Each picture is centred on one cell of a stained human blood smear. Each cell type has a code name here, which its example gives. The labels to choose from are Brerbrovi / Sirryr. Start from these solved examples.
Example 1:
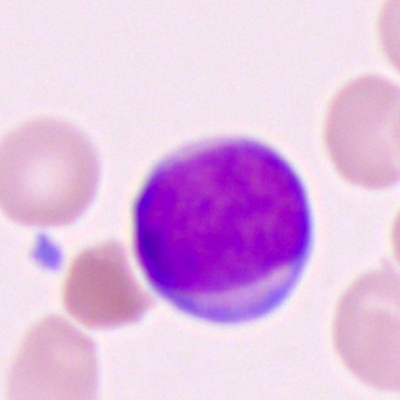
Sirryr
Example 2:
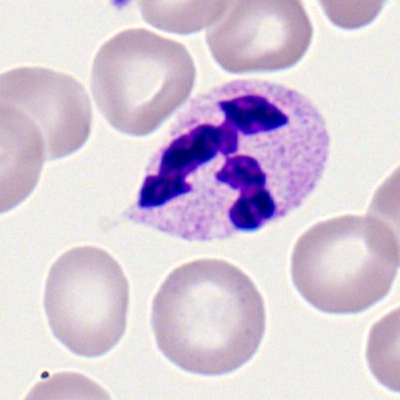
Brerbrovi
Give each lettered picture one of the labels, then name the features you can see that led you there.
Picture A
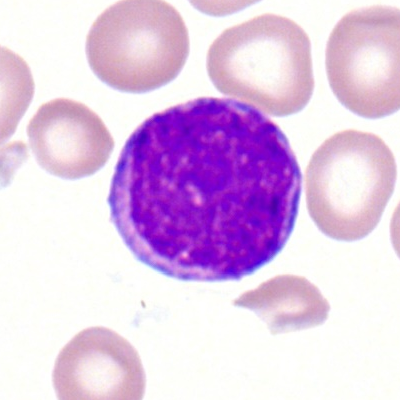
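Sirryr. The cytoplasm is only a thin pale bluish rim around the nucleus.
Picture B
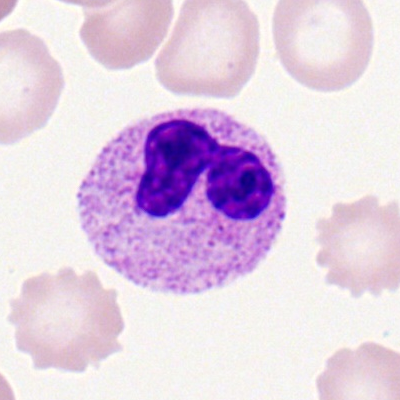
Brerbrovi. The cytoplasm is abundant and pale pink-lilac.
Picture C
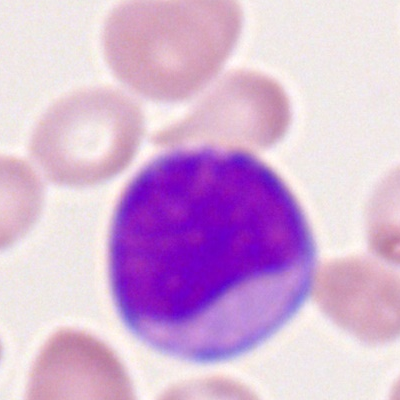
Sirryr. The nucleus fills most of the cell.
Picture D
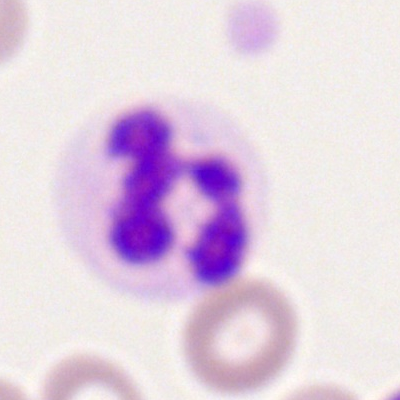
Brerbrovi. The cytoplasm is plentiful and pale pinkish-lilac.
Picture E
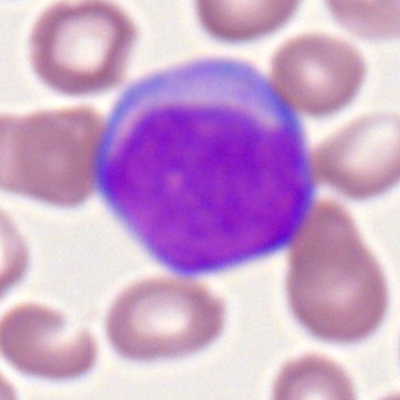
Sirryr. The cytoplasm is blue.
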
